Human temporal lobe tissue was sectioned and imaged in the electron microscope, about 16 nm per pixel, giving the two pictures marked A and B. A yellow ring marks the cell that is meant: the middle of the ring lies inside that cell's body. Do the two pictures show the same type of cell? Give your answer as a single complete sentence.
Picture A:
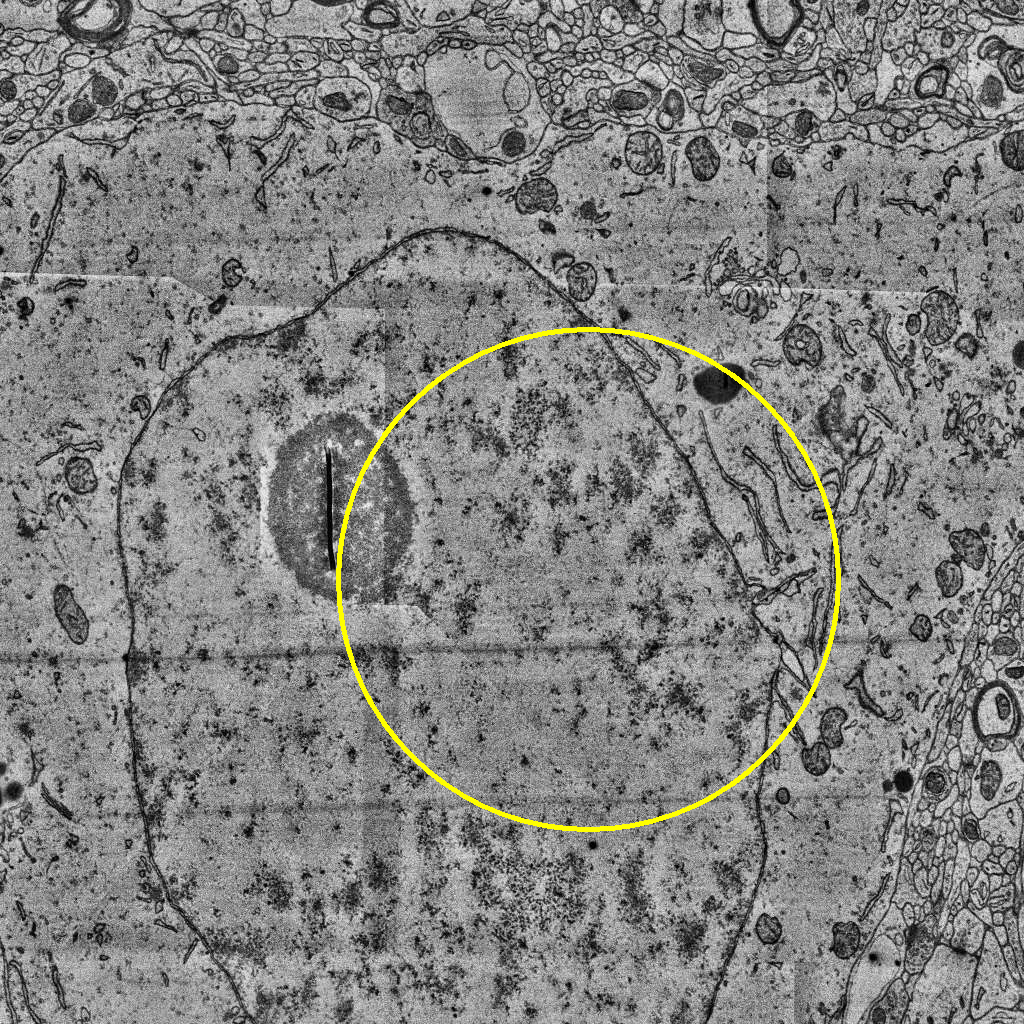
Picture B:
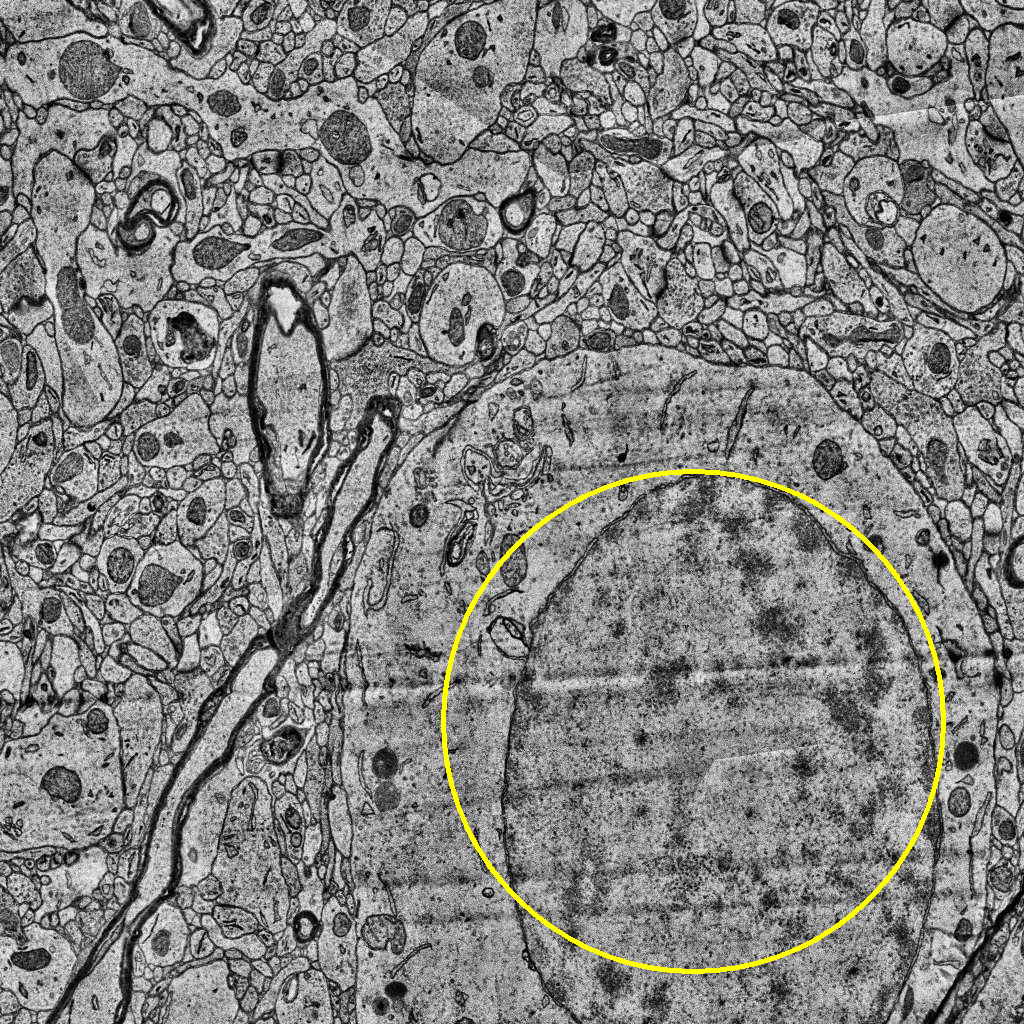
Yes, both cells are pyramidal neurons.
